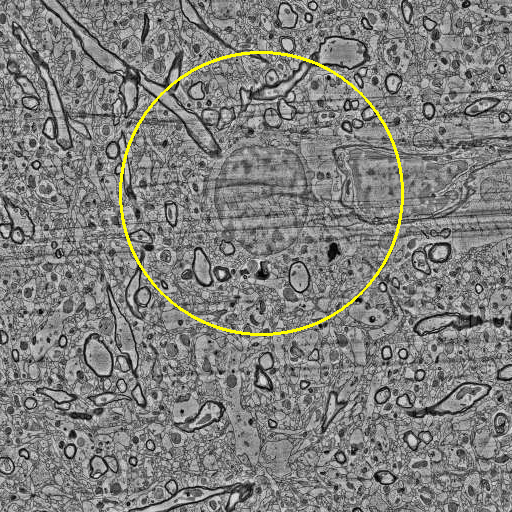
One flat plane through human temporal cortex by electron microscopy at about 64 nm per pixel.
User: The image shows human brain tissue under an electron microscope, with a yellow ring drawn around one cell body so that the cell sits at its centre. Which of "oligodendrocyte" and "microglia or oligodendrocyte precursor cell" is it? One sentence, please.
At the centre of the ring sits an oligodendrocyte.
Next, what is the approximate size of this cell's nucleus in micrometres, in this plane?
In this plane the ringed cell's nucleus is roughly 7 micrometres across.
